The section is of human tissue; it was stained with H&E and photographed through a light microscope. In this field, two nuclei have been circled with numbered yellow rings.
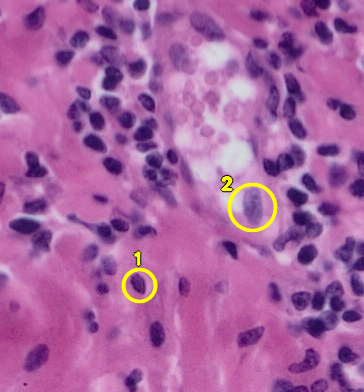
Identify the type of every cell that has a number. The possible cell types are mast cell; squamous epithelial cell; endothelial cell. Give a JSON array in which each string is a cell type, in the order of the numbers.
["mast cell", "endothelial cell"]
